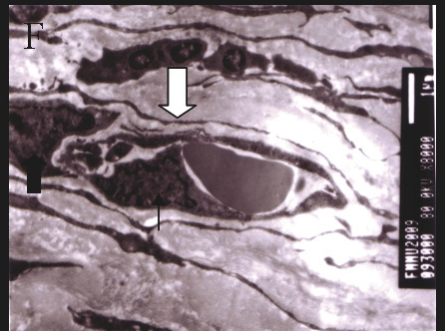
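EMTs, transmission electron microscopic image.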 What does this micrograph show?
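The lumen holds a homogeneous, oval, moderately dense body. Thin, dark endothelial cells with dense nuclei line the lumen. A dark cell lies along the outside of the vessel wall. Around the vessel, elongated flattened cell processes lie in roughly parallel layers within pale extracellular matrix.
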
